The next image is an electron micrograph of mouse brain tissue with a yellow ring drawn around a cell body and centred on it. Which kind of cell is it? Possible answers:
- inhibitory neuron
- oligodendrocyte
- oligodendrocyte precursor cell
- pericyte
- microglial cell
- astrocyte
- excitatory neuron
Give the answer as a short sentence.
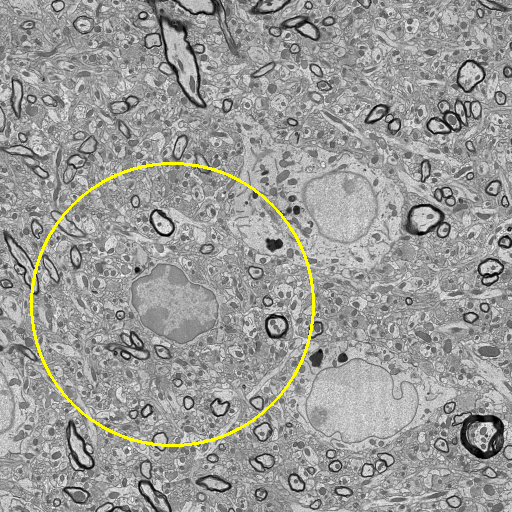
In the ring's centre is a microglial cell.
